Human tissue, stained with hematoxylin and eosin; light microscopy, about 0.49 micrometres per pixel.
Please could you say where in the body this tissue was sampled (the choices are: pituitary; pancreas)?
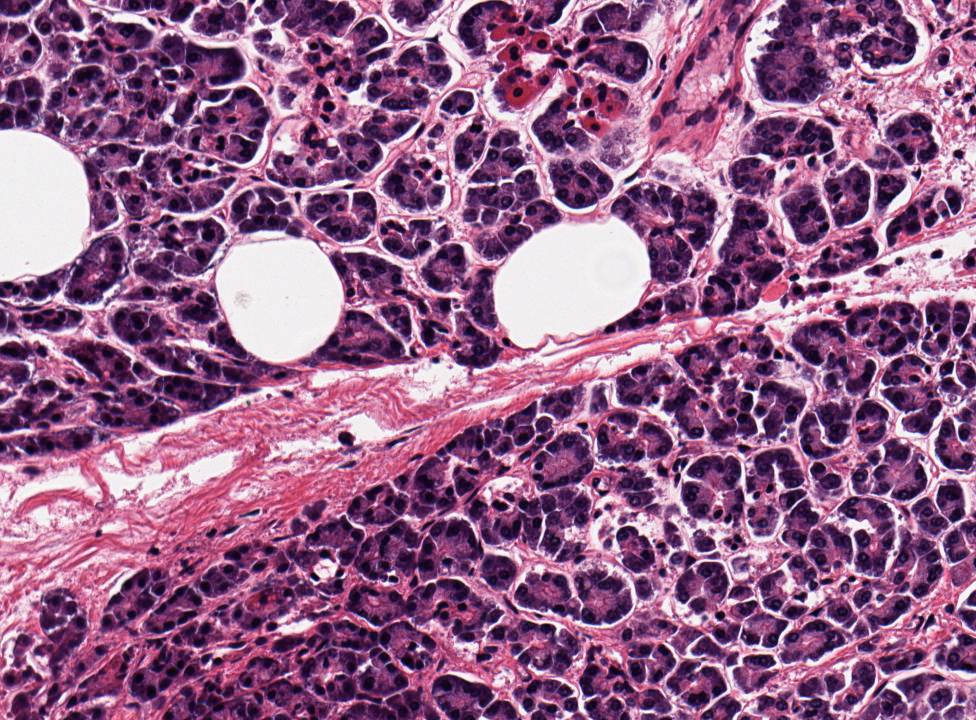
pancreas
